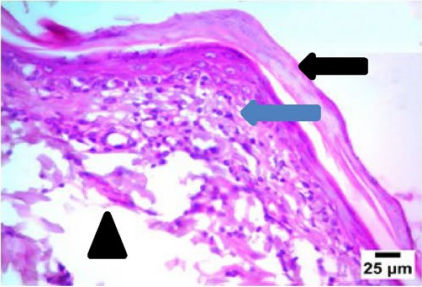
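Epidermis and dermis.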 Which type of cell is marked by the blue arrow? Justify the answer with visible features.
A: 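Many small round dark nuclei crowd the upper dermis below the epidermis. The cells are small with little cytoplasm.
Hence: mononuclear inflammatory cells.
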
